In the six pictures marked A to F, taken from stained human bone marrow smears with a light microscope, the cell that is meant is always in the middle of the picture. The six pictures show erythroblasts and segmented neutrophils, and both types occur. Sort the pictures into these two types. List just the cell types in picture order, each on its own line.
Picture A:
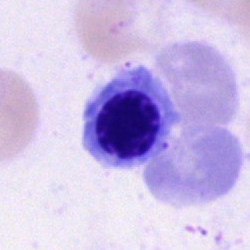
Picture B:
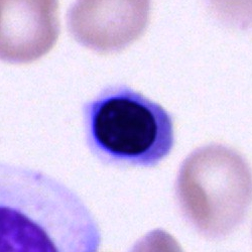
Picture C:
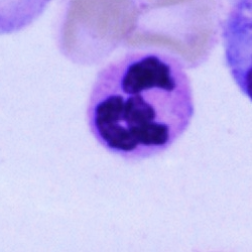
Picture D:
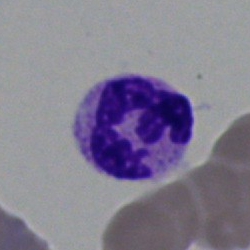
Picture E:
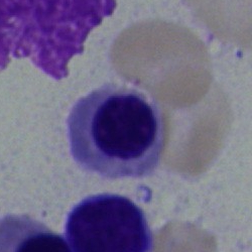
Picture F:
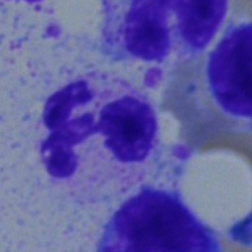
erythroblast
erythroblast
segmented neutrophil
segmented neutrophil
erythroblast
segmented neutrophil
